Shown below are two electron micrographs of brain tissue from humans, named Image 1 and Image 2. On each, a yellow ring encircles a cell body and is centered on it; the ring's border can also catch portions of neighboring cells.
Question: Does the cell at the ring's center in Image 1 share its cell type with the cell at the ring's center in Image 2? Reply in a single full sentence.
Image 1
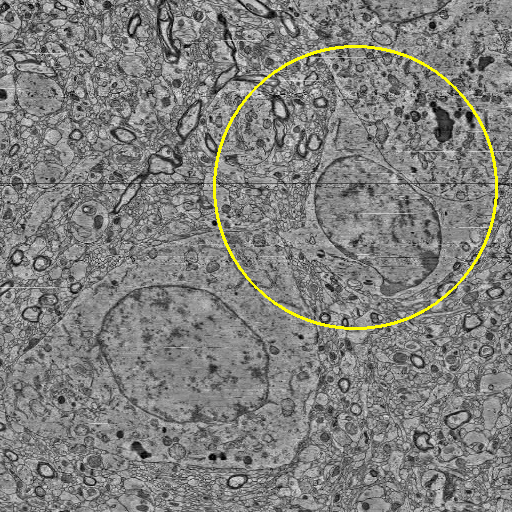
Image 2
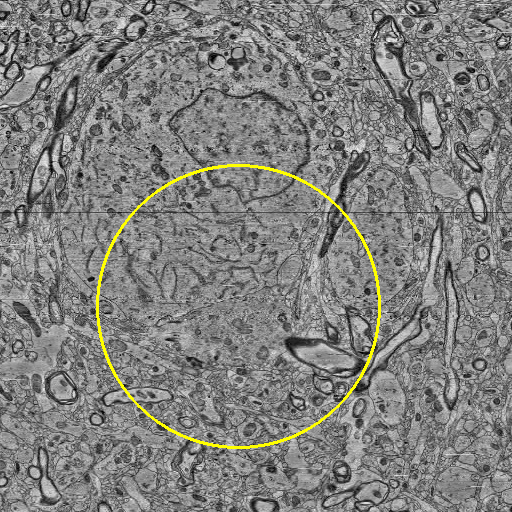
No, the two cells at the ring centers, in Image 1 and Image 2, are of two cell types.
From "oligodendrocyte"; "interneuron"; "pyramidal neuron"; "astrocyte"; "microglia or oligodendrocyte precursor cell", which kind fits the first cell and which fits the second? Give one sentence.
The cell marked in the first picture is a microglial cell or oligodendrocyte precursor cell, and the one marked in the second is an oligodendrocyte.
